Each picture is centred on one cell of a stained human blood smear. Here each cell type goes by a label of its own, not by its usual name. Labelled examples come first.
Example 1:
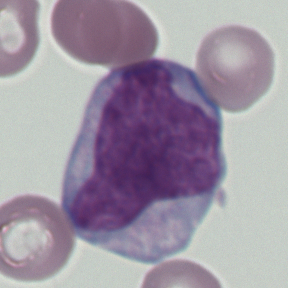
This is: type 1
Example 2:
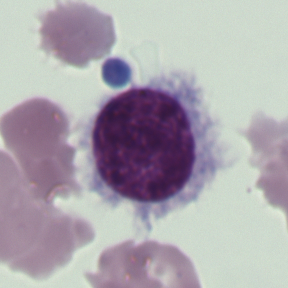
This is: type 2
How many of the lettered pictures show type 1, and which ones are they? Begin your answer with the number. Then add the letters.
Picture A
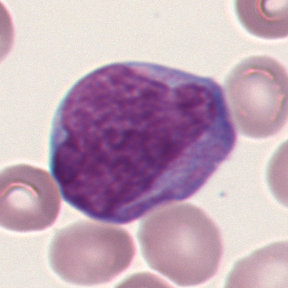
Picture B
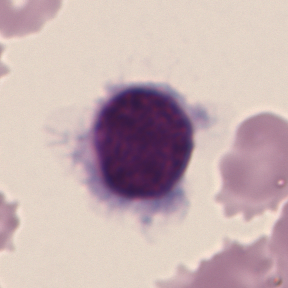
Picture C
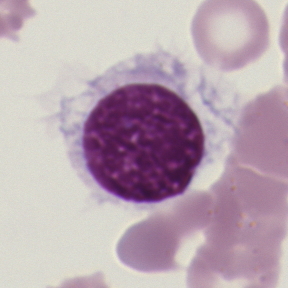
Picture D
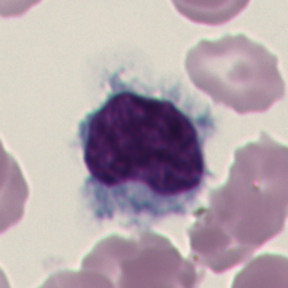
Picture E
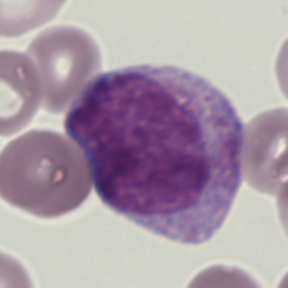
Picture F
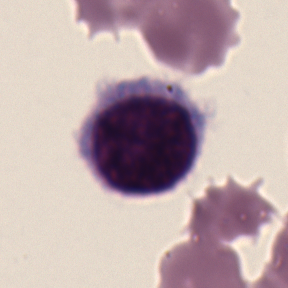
Count: 2 (A, E)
